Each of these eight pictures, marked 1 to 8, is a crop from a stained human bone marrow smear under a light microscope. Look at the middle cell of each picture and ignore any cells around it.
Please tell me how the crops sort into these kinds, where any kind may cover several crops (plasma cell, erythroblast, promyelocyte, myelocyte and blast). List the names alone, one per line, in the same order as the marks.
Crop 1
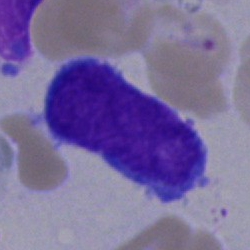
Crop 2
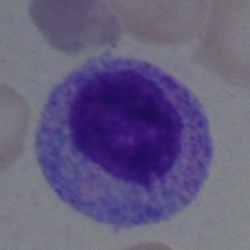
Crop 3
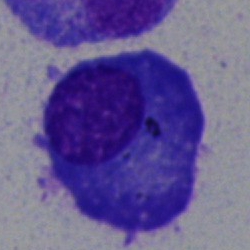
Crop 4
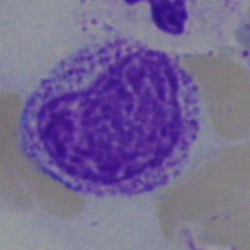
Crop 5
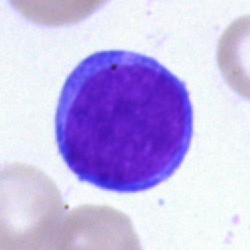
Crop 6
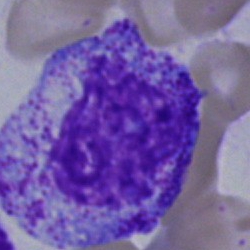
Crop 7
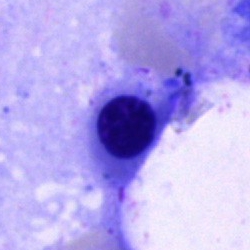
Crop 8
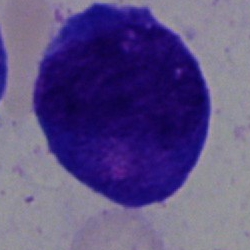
blast
myelocyte
plasma cell
myelocyte
blast
myelocyte
erythroblast
blast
